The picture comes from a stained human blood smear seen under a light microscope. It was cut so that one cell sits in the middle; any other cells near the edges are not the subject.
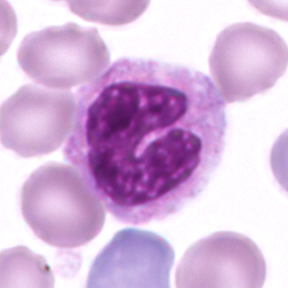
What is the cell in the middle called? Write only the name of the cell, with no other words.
band neutrophil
